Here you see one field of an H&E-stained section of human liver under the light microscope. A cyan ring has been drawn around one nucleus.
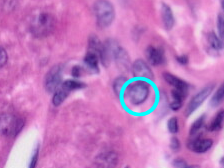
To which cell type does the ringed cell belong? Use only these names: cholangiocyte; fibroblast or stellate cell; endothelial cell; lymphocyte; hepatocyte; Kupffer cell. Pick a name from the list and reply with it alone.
cholangiocyte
